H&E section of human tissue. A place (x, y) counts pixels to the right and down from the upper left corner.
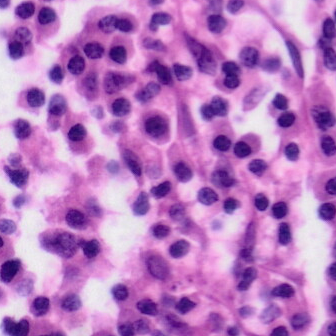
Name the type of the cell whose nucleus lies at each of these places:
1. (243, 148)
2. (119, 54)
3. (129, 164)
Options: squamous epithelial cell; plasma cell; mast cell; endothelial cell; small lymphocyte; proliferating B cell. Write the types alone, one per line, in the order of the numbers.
plasma cell
plasma cell
squamous epithelial cell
